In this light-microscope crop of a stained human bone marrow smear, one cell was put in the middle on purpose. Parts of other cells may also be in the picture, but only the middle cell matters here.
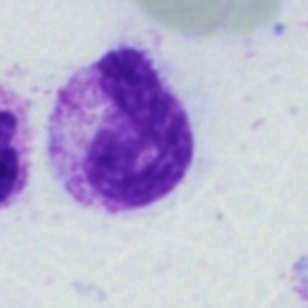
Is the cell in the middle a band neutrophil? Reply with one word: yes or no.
no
